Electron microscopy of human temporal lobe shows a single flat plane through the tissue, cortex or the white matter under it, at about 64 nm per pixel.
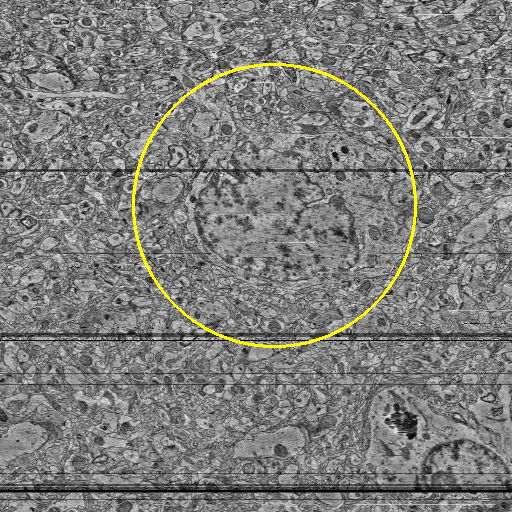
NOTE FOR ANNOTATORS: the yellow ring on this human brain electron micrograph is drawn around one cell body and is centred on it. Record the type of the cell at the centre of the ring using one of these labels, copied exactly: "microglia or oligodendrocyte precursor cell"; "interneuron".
interneuron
